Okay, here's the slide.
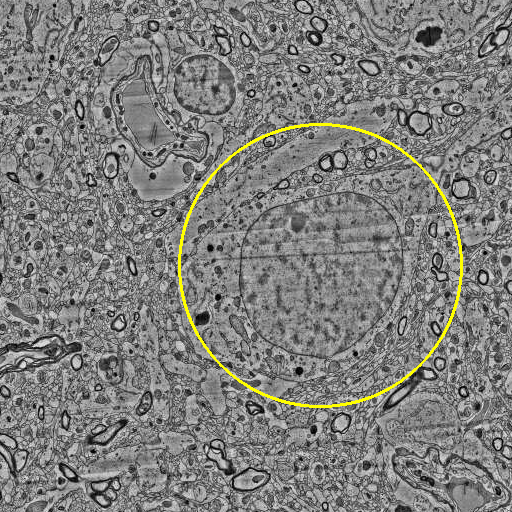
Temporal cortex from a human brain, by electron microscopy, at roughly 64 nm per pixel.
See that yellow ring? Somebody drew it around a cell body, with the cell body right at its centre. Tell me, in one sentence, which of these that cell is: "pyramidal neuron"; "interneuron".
The cell in the middle of the ring is a pyramidal neuron.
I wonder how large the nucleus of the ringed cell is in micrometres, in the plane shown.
Roughly 11 micrometres across, measured in this plane.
